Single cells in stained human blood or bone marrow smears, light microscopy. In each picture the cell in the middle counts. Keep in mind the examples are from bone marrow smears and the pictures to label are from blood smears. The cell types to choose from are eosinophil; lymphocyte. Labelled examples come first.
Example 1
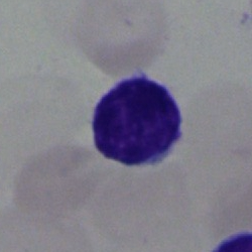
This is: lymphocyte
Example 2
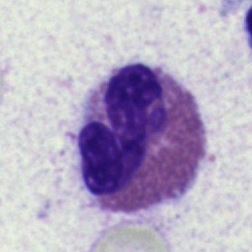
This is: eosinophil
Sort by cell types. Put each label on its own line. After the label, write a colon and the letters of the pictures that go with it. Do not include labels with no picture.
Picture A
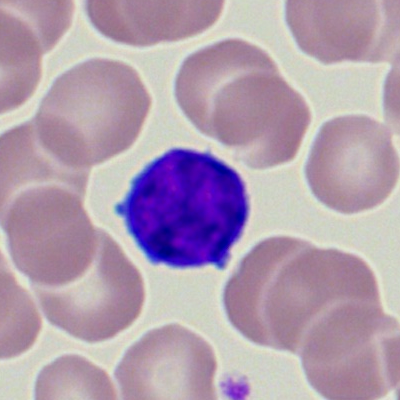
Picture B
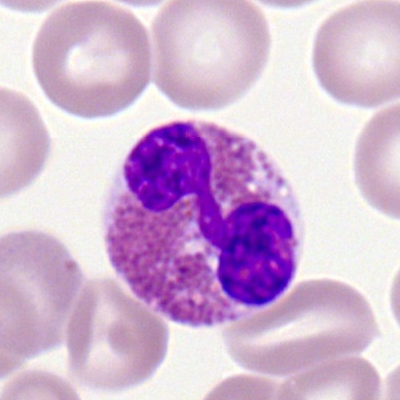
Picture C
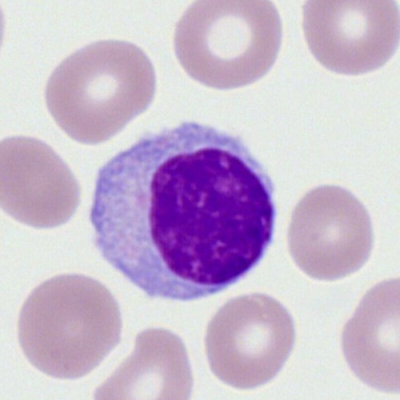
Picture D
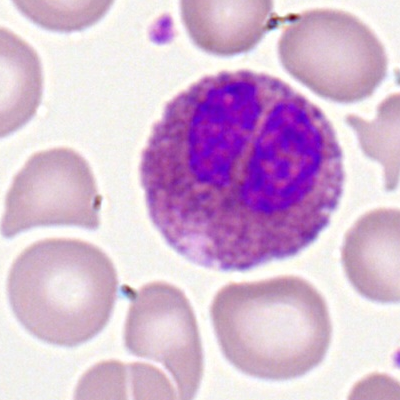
eosinophil: B, D
lymphocyte: A, C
